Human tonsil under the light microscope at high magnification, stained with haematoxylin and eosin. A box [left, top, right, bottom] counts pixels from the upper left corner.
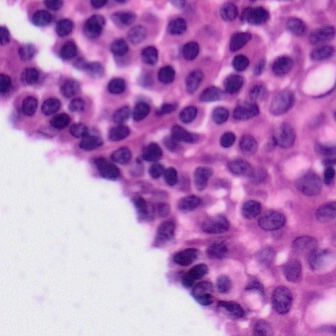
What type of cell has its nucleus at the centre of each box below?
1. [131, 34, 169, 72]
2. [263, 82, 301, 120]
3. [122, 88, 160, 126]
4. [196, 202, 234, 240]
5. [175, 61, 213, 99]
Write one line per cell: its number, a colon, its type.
1: plasma cell
2: squamous epithelial cell
3: plasma cell
4: squamous epithelial cell
5: plasma cell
